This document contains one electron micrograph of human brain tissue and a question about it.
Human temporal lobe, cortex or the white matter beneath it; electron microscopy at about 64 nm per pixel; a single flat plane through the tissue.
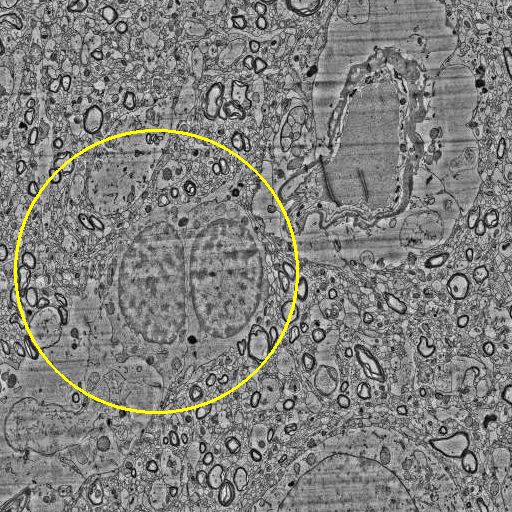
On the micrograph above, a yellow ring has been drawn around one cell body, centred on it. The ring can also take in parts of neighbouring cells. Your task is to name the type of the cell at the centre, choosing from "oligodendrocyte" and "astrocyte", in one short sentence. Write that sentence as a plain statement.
Here the ring is centred on an oligodendrocyte.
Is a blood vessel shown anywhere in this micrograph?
Yes.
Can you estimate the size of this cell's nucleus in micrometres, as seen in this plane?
About 8 by 5 micrometres in this plane; clearly longer than it is wide.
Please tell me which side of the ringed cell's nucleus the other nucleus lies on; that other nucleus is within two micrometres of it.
The other nucleus appears to the right of it.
